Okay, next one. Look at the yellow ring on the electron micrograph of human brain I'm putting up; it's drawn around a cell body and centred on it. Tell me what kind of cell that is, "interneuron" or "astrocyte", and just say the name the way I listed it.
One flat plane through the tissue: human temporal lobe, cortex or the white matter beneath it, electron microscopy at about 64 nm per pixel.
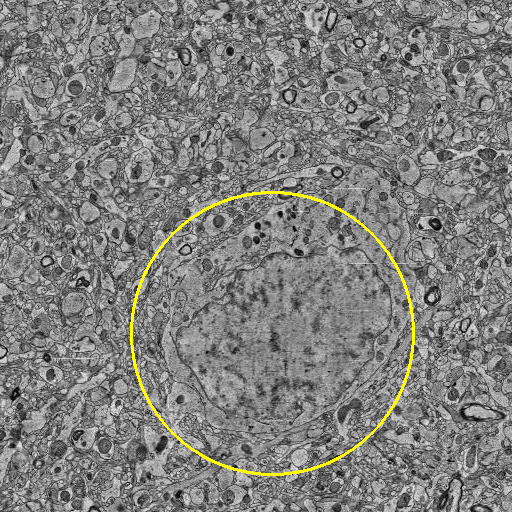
interneuron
